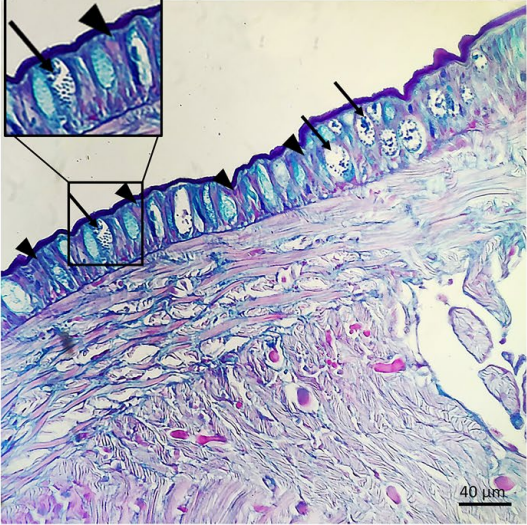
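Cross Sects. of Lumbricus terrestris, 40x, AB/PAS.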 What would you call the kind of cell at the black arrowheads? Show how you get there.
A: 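Supporting epithelial cells. The arrowheads point to the dark violet apical parts of slender cells between the oval blue-filled cells. The slender cells lie side by side with the oval cells in one layer under a thin dark surface line.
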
